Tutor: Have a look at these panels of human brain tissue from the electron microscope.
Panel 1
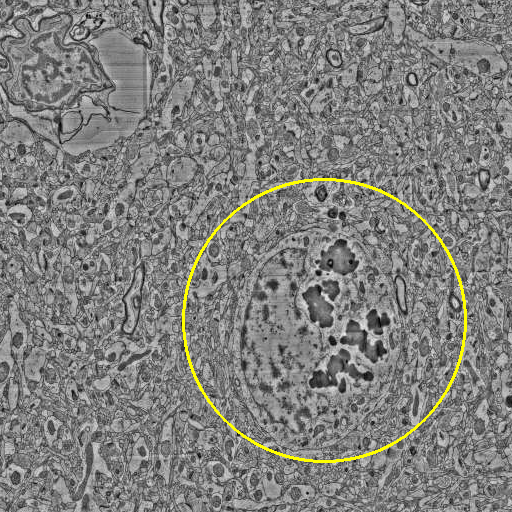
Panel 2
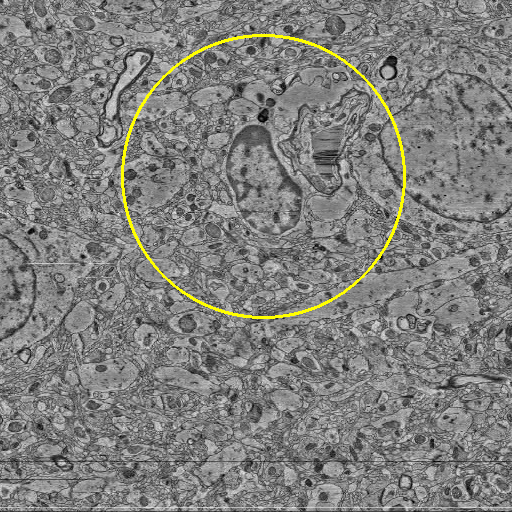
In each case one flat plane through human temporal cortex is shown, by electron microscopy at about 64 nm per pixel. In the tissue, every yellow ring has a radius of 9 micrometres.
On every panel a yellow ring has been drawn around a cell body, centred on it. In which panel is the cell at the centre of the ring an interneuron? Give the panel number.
1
